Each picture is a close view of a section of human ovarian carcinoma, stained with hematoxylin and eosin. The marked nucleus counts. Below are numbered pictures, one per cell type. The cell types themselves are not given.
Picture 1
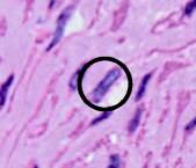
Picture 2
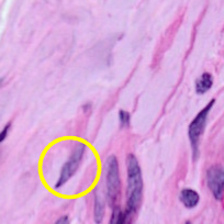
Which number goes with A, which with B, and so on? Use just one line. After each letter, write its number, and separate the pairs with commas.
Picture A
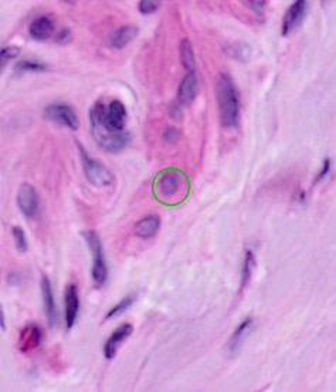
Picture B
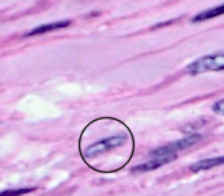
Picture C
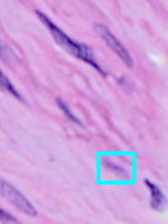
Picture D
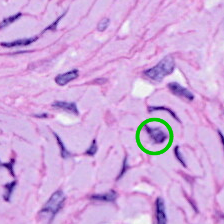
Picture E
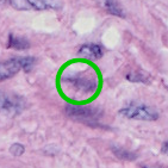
A 2, B 1, C 2, D 1, E 1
